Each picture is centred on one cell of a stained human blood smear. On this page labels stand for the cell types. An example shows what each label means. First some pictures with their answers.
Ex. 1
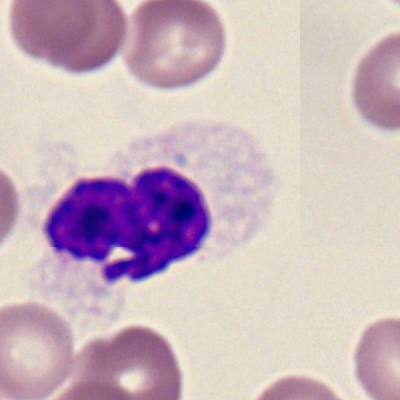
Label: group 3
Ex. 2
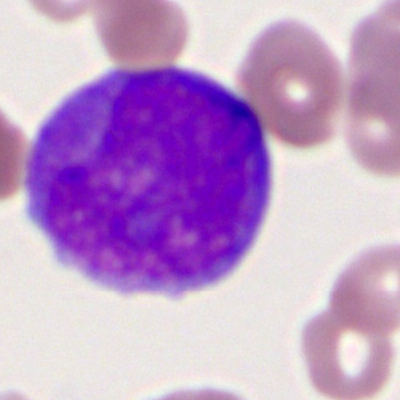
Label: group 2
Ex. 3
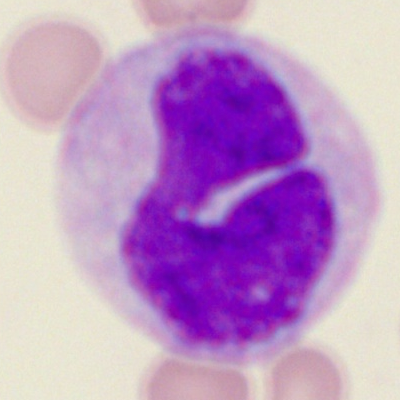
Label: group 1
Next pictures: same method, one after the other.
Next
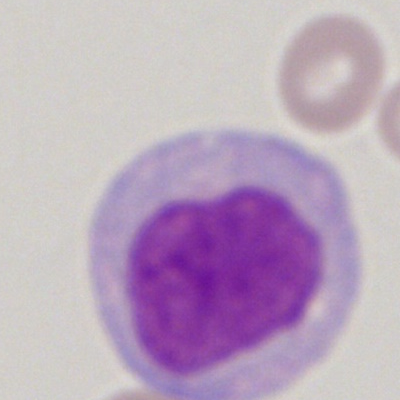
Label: group 1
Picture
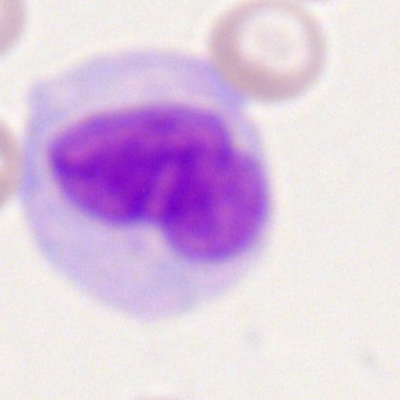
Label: group 1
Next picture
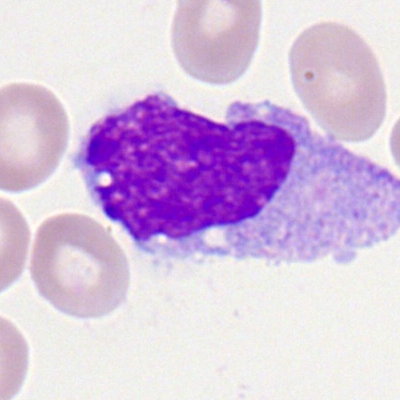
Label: group 1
